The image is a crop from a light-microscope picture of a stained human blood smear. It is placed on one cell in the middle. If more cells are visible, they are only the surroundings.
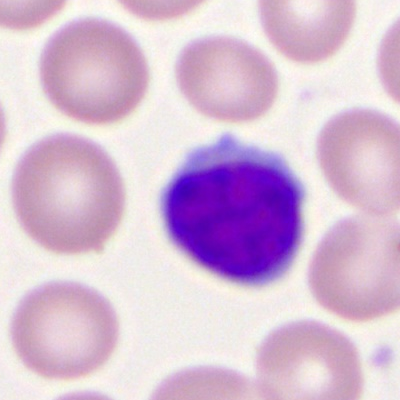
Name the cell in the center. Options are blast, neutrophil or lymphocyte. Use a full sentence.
Among the cells in view, the one in the middle is a lymphocyte.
